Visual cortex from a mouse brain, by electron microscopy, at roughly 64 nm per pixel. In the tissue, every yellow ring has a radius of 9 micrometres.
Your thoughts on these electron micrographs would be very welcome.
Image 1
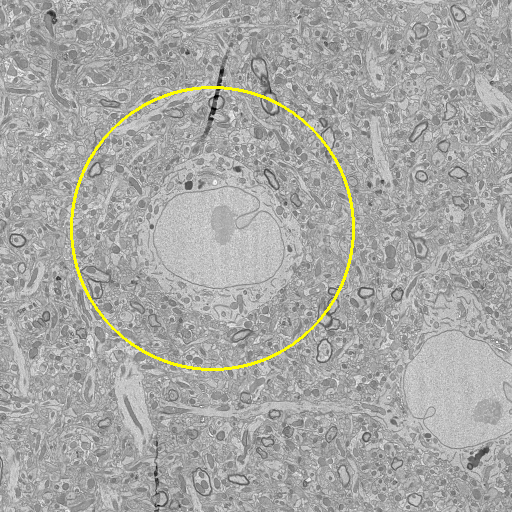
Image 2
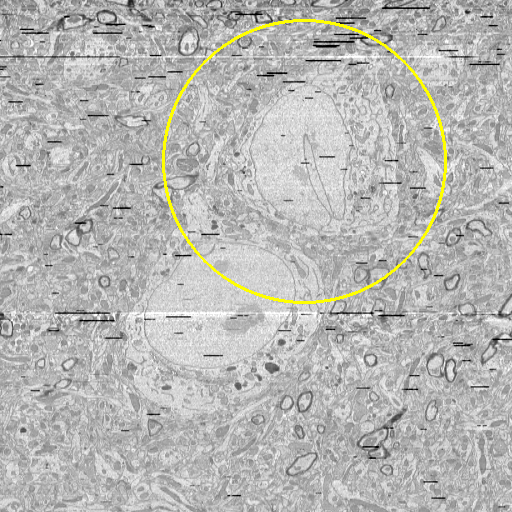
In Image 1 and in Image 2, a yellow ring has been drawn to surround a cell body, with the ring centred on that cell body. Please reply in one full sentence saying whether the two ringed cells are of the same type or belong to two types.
The ringed cells in Image 1 and Image 2 belong to two types.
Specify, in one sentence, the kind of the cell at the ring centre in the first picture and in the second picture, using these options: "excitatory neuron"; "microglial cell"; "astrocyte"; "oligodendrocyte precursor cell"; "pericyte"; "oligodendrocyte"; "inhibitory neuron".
So the first is an excitatory neuron, the second an inhibitory neuron.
